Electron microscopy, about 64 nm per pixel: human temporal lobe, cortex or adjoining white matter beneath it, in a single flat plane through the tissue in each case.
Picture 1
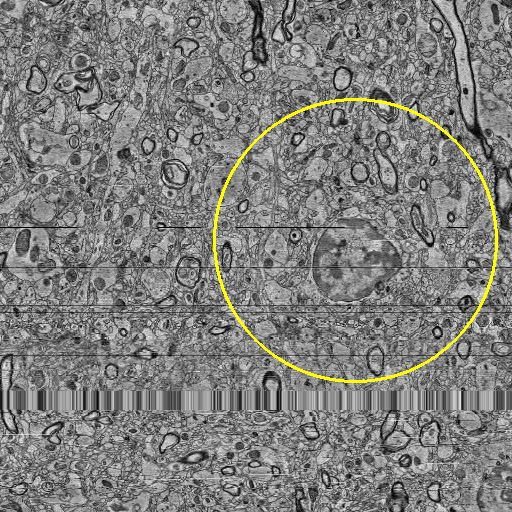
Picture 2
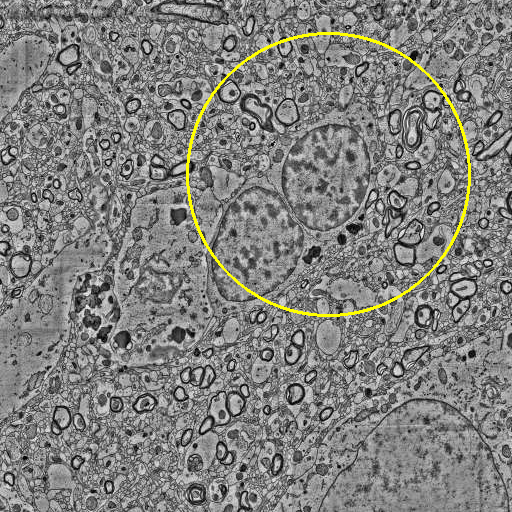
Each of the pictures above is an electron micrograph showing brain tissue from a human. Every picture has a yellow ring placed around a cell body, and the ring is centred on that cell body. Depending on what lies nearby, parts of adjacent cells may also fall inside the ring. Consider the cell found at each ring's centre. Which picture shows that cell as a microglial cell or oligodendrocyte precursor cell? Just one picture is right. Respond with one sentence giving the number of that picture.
The picture showing the wanted cell at the ring's centre is number 1.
